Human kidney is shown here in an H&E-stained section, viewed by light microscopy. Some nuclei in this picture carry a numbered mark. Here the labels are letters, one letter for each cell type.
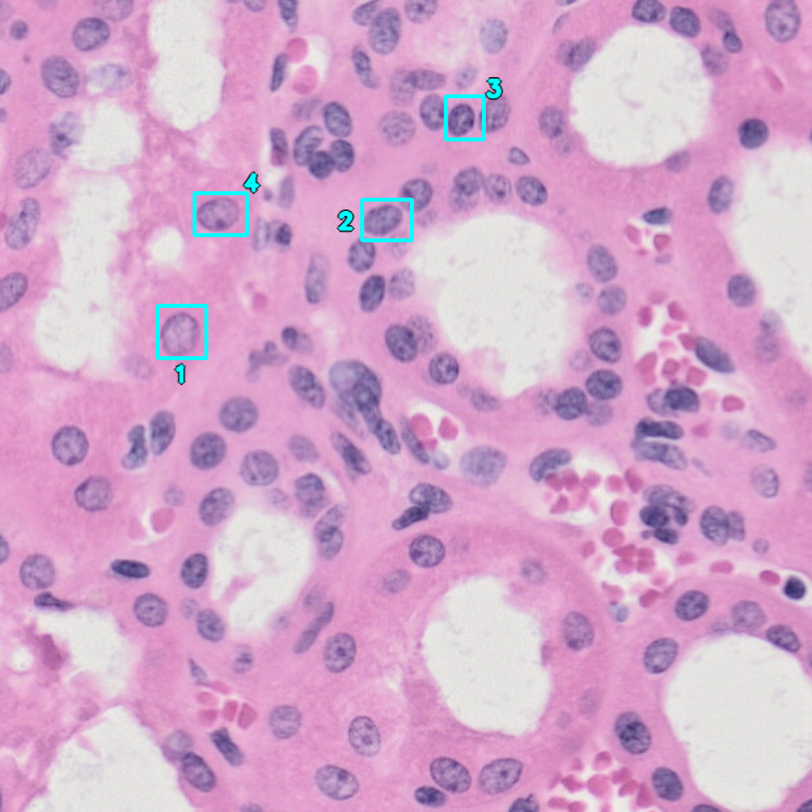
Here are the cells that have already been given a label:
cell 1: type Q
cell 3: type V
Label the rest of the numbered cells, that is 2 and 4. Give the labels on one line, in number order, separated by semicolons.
type V; type Q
